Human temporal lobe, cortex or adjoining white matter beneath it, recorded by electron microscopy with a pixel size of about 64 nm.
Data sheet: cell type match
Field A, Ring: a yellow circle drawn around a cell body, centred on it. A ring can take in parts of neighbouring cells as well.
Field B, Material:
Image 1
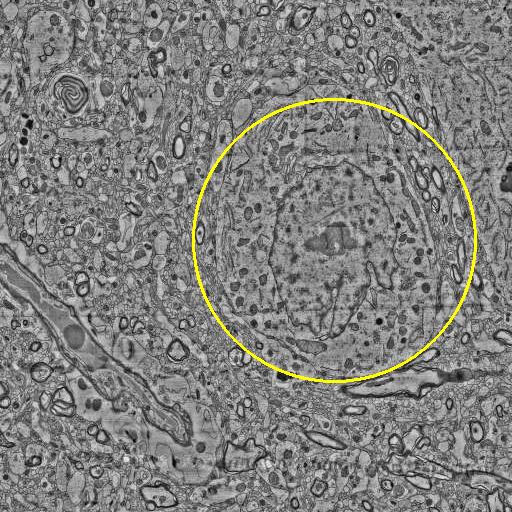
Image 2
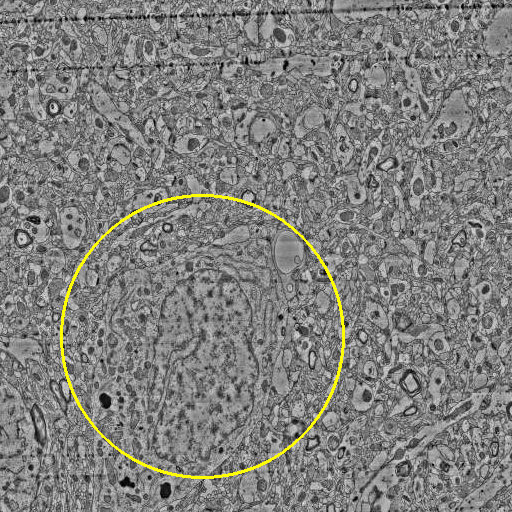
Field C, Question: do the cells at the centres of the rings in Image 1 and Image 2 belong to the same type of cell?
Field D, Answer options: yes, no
yes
